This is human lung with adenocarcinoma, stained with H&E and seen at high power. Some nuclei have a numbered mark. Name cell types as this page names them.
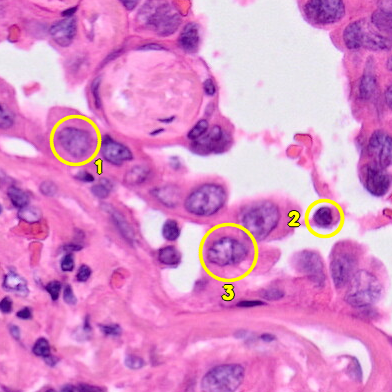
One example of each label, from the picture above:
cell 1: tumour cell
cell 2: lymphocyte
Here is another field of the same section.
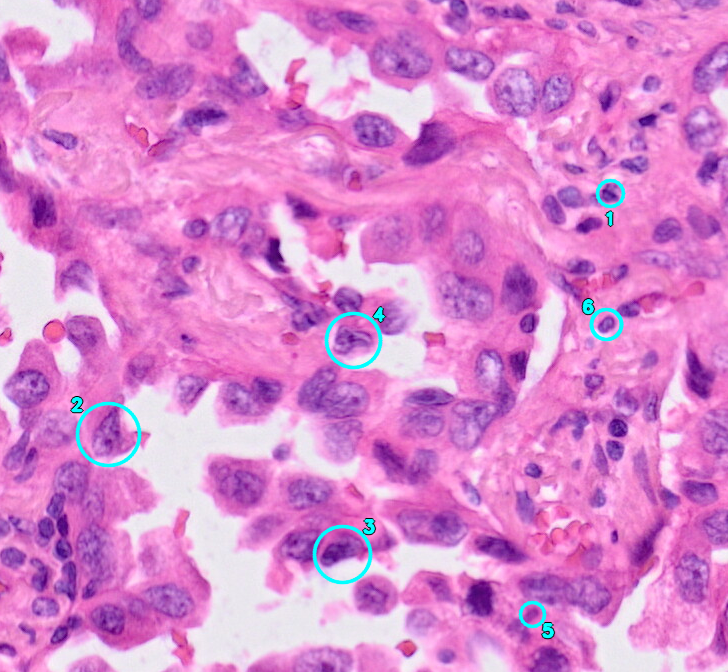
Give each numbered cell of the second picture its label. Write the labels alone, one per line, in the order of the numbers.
lymphocyte
tumour cell
tumour cell
tumour cell
tumour cell
lymphocyte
